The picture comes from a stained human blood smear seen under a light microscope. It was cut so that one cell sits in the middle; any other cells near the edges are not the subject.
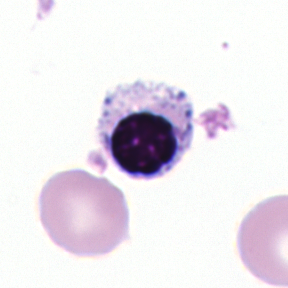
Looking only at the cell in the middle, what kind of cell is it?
normoblast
